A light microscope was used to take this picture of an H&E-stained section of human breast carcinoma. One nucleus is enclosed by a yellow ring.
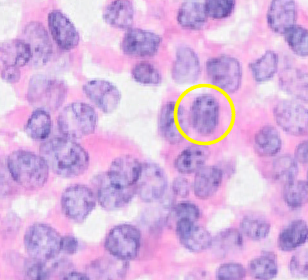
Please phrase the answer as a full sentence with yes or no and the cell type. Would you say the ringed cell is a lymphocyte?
No, rather than a lymphocyte, the ringed cell is a carcinoma cell.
